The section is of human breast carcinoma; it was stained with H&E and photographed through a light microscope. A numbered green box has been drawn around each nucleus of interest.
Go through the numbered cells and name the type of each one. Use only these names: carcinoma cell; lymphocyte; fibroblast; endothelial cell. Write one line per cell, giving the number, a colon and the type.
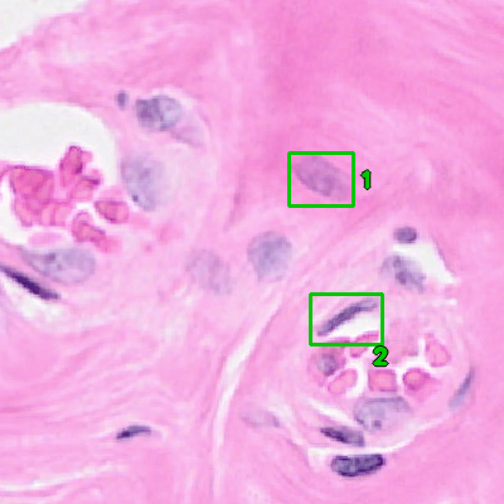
1: fibroblast
2: endothelial cell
